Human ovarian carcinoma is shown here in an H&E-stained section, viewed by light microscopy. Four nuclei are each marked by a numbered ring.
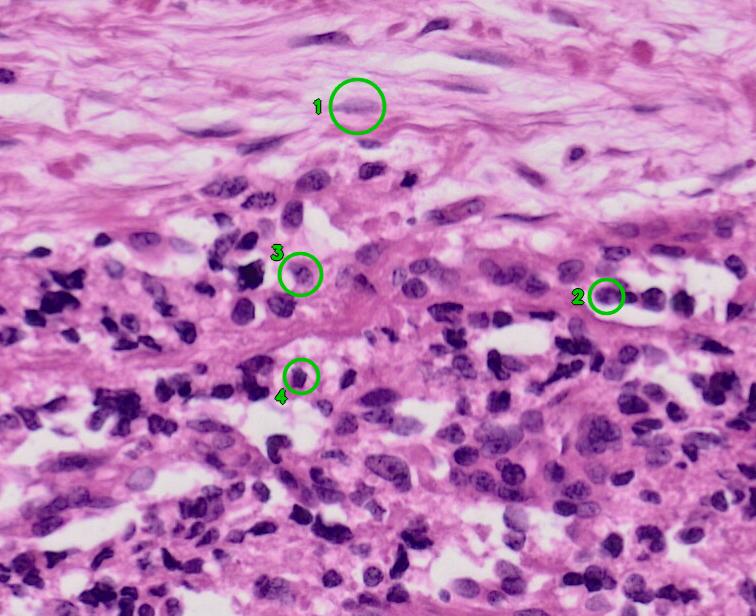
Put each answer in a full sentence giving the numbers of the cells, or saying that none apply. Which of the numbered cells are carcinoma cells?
A single numbered cell, cell 2, is a carcinoma cell.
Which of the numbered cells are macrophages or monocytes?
The cells tagged with numbers 3 and 4 are macrophages or monocytes.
